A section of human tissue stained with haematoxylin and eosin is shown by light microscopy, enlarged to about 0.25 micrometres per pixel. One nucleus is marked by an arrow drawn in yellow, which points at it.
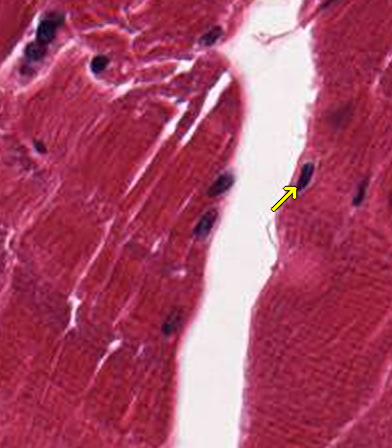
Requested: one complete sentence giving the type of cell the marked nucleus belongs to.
The nucleus indicated by the mark belongs to a skeletal muscle fibre.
